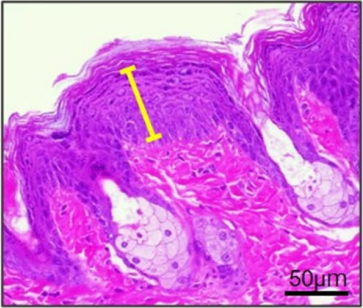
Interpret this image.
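This is a section of skin with a markedly thickened epidermis composed of many layers of purple-staining cells with dark nuclei. Hair follicle structures with clusters of pale, vacuolated cells, consistent with sebaceous glands, lie within the dermis. A yellow bar marks the full height of the thickened epidermis.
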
